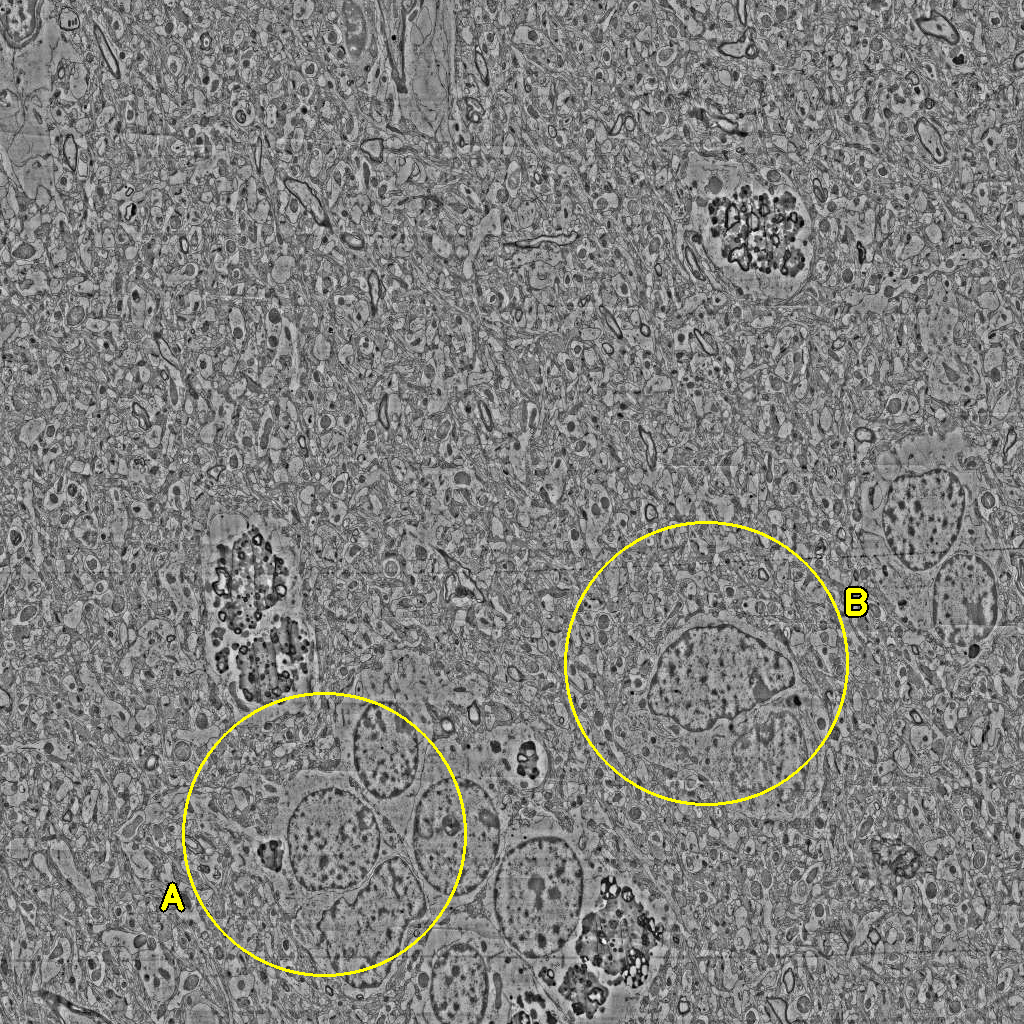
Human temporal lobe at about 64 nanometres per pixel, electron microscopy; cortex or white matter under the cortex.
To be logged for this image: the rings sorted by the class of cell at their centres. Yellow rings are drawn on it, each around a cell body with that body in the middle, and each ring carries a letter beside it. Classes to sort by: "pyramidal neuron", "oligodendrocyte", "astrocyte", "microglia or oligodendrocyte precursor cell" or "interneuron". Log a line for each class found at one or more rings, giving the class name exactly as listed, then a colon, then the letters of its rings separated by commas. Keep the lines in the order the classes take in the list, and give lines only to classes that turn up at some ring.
astrocyte: A
microglia or oligodendrocyte precursor cell: B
